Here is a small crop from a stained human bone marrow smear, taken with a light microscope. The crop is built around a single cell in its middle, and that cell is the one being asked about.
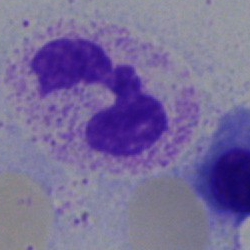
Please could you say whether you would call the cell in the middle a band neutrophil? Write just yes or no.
no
